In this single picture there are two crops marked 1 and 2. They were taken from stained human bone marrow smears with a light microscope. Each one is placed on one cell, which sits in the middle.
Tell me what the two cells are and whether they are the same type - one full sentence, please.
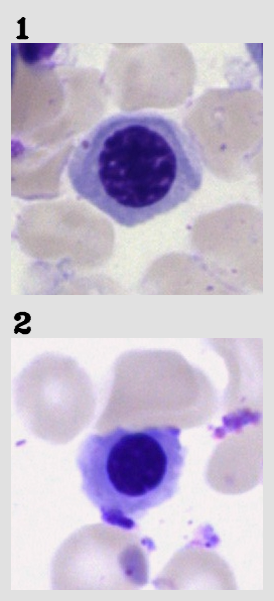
Yes, both crops show a cell each, and these are erythroblasts.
